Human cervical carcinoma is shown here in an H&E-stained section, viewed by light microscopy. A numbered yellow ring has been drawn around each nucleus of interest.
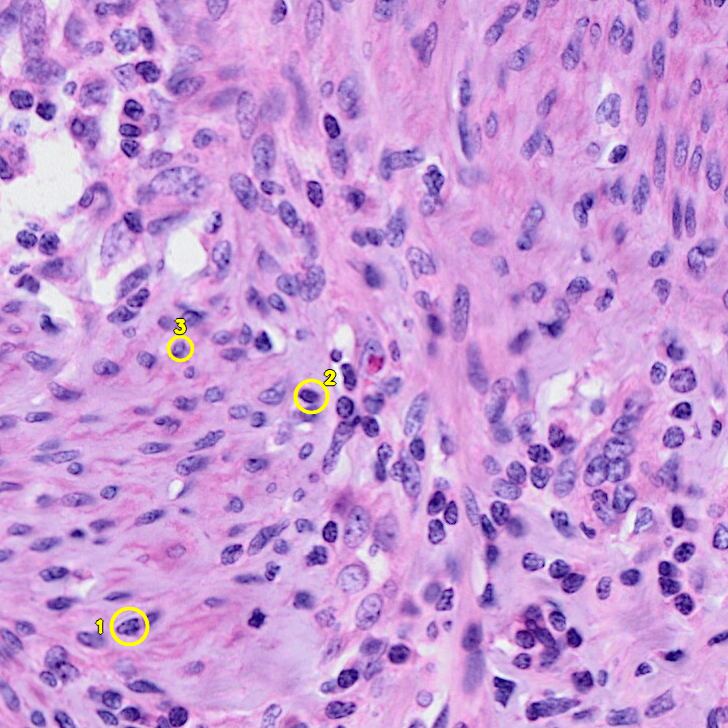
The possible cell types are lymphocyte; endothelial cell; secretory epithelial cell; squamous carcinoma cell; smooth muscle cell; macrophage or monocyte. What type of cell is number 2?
lymphocyte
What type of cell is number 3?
smooth muscle cell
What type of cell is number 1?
lymphocyte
